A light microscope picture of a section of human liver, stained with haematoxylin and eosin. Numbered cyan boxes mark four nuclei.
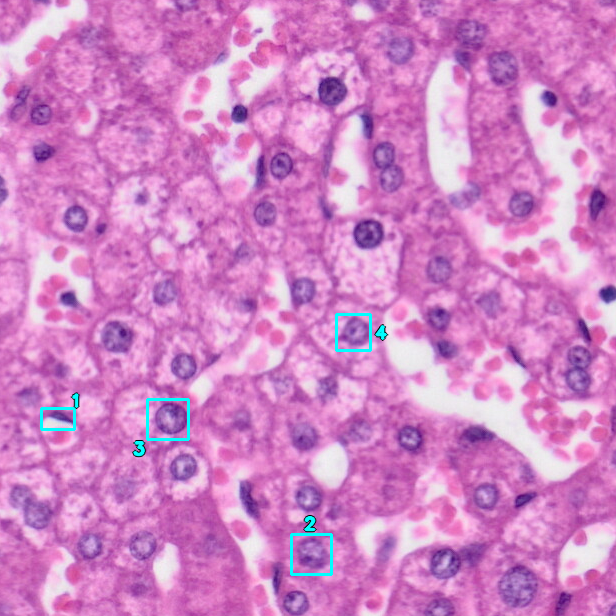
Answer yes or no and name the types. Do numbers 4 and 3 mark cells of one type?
Yes, both cells 4 and 3 are hepatocytes.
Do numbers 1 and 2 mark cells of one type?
No, cell 1 is an endothelial cell, and as for cell 2, it is a hepatocyte.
